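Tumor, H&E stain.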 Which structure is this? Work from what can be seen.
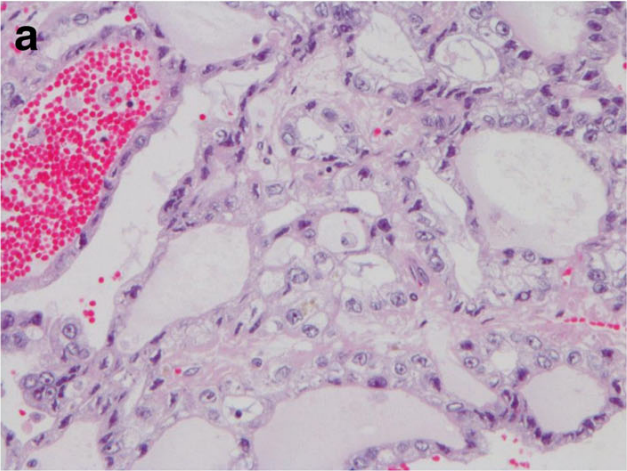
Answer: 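Ductal structure. Cells are arranged around open lumens forming duct-like spaces. Lumens are lined by a single layer of epithelial cells.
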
